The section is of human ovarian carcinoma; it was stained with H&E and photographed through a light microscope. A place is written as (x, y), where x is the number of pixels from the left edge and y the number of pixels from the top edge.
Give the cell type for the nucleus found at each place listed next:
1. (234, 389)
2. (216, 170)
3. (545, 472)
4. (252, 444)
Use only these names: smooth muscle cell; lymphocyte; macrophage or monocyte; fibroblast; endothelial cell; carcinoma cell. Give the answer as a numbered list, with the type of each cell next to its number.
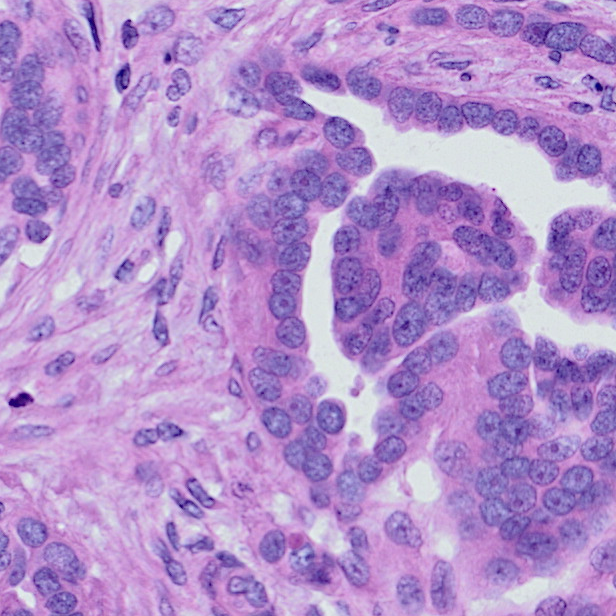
1. fibroblast
2. fibroblast
3. carcinoma cell
4. fibroblast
